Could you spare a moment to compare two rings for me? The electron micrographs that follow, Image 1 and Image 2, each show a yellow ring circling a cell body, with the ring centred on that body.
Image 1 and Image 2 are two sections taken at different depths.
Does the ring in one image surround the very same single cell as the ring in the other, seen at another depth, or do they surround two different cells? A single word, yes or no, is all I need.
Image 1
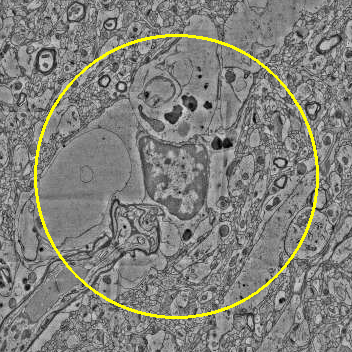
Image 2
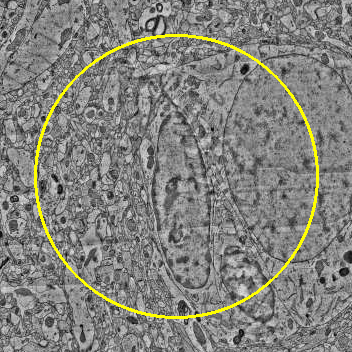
no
